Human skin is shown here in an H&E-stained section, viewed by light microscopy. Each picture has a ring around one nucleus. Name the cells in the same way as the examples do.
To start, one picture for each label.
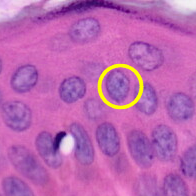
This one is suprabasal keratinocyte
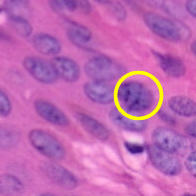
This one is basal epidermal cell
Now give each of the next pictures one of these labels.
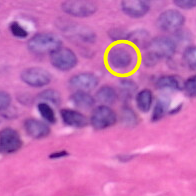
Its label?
basal epidermal cell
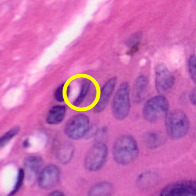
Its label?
basal epidermal cell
